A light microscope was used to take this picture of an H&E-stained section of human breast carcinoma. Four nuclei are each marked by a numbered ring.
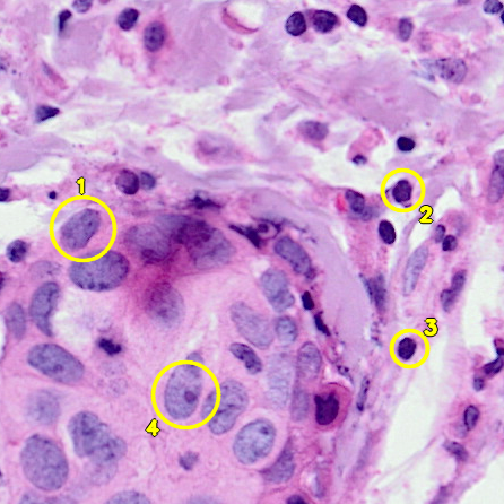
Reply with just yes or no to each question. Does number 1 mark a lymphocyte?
no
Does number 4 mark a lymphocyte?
no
